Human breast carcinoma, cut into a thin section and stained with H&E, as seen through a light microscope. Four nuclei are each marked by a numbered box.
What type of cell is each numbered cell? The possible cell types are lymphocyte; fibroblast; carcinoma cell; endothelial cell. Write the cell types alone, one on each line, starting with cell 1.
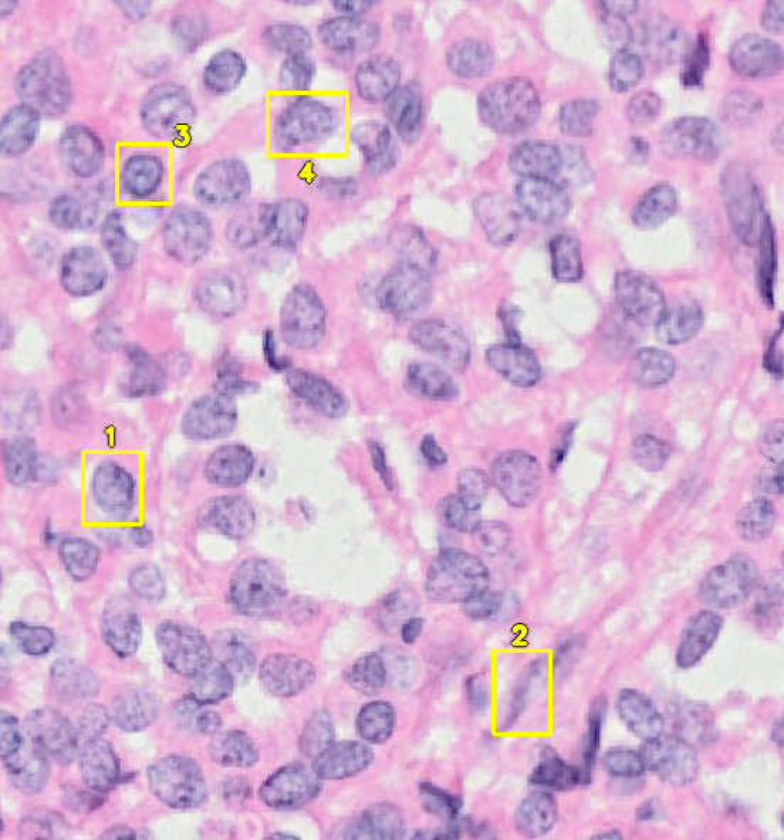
carcinoma cell
endothelial cell
carcinoma cell
carcinoma cell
